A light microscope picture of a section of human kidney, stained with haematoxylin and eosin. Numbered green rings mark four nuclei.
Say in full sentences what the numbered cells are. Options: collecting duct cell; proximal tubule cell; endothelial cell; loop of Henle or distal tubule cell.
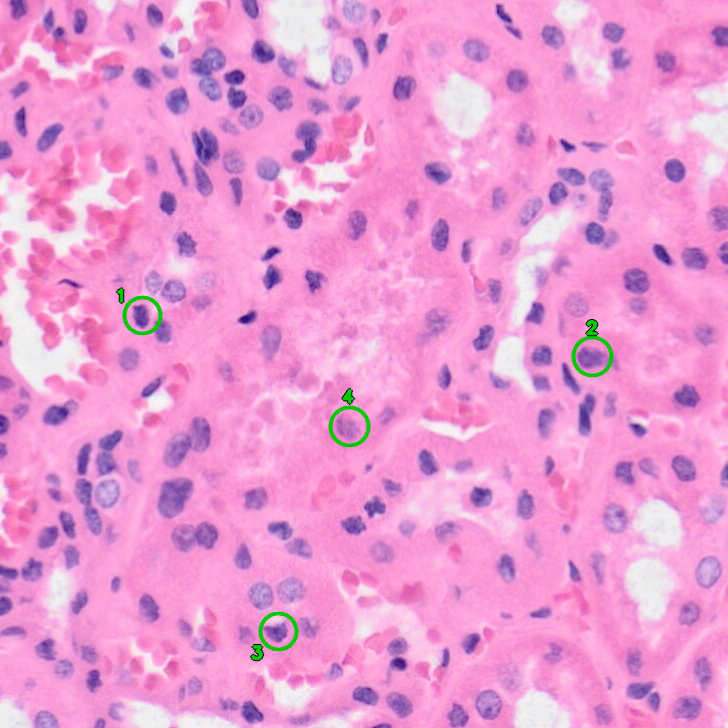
Cells 1 and 3 are loop of Henle or distal tubule cells. Cells 2 and 4 are proximal tubule cells.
